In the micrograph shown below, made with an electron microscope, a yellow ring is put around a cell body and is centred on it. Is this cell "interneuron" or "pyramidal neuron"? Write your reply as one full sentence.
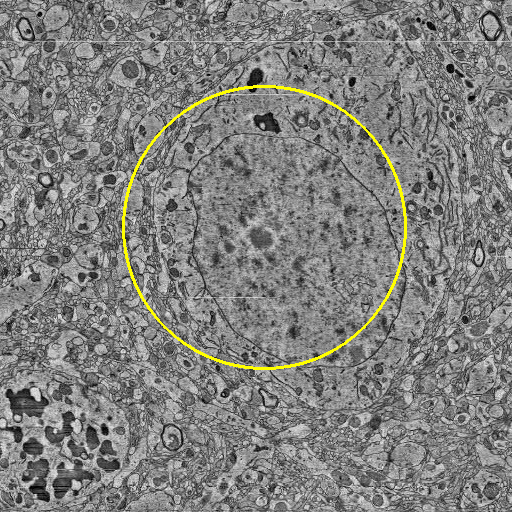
In the micrograph, a pyramidal neuron is the cell at the centre of the yellow ring.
